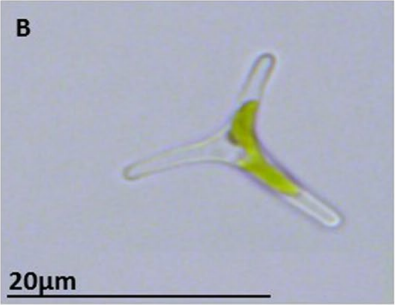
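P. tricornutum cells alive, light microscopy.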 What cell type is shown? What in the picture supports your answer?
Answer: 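Triradiate morphotype. The cell has three arms radiating from a central body. The green chloroplast sits in the central part.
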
